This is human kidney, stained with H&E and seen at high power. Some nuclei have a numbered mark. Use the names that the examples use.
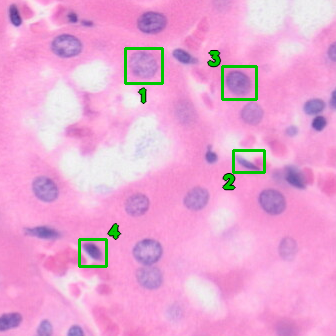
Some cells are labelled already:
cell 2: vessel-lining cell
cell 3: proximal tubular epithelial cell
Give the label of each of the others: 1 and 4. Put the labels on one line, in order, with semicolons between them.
proximal tubular epithelial cell; vessel-lining cell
